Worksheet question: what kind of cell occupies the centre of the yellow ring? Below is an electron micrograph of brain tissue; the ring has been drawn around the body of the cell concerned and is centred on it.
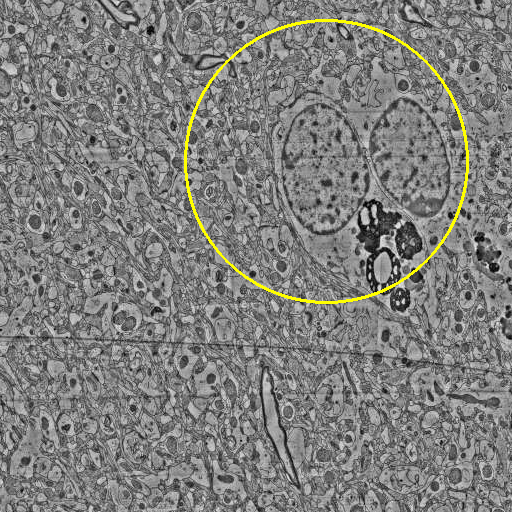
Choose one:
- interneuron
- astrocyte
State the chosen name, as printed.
astrocyte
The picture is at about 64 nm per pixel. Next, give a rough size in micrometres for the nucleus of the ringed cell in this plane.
The nucleus is approximately 8 micrometres long but only about 5 wide, clearly longer than it is wide in this plane.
